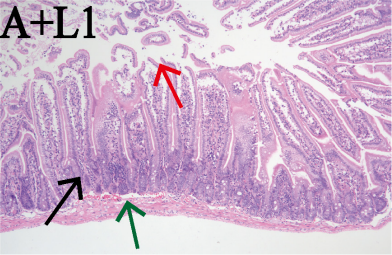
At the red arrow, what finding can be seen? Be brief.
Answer: Exfoliated intestinal epithelial cells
